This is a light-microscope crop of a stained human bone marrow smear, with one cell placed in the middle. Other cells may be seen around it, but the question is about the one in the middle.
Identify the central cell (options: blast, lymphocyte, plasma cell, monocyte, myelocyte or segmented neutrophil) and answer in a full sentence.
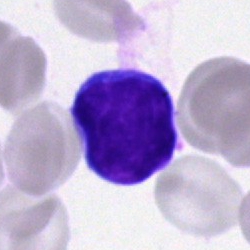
The crop's centre is taken up by a lymphocyte.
